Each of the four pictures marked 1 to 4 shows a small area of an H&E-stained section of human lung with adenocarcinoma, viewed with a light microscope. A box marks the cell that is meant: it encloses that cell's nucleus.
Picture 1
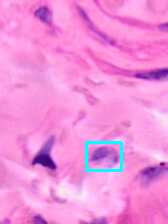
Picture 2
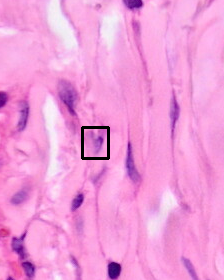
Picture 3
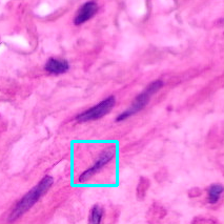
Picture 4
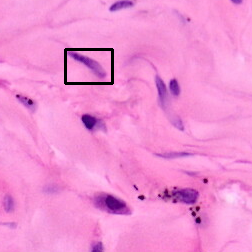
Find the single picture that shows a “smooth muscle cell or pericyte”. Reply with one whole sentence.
The cell in picture 3 is the “smooth muscle cell or pericyte”.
